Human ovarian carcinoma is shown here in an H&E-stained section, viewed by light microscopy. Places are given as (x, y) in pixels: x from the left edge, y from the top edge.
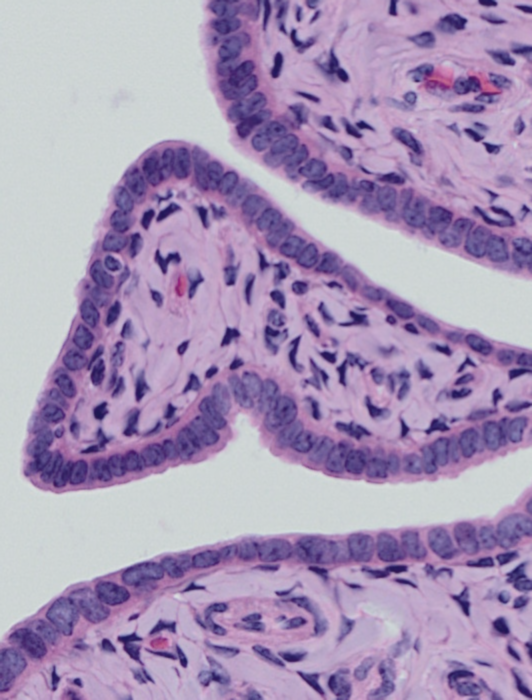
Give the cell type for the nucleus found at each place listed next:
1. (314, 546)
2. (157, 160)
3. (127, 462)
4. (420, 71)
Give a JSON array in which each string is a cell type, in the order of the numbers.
["carcinoma cell", "carcinoma cell", "carcinoma cell", "endothelial cell"]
